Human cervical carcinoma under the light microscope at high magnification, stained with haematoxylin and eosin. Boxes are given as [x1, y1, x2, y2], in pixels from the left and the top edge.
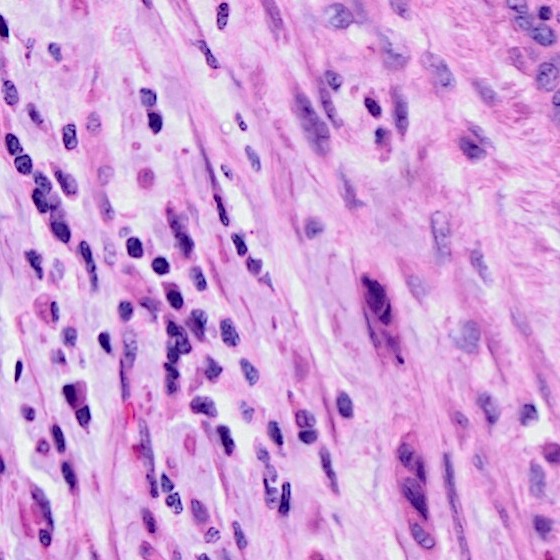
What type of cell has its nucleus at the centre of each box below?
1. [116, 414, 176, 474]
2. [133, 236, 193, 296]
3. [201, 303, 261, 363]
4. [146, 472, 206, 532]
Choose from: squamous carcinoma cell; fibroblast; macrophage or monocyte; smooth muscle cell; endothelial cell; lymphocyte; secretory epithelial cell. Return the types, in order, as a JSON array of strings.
["endothelial cell", "lymphocyte", "lymphocyte", "lymphocyte"]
